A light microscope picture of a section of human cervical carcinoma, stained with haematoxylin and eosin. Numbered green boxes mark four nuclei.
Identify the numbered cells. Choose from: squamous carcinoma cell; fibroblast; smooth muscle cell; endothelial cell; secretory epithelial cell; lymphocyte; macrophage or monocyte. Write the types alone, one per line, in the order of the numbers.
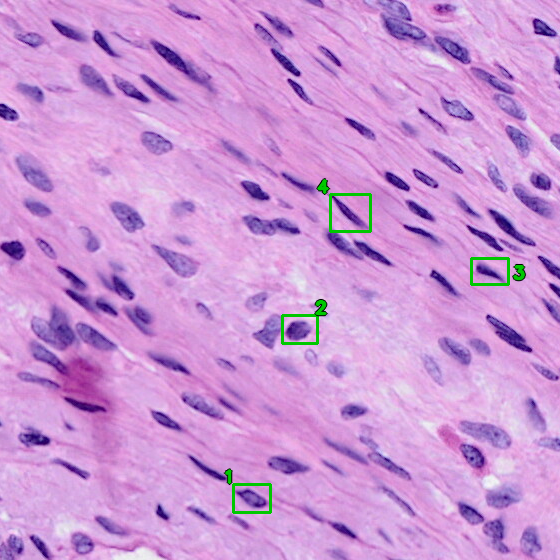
fibroblast
lymphocyte
fibroblast
fibroblast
